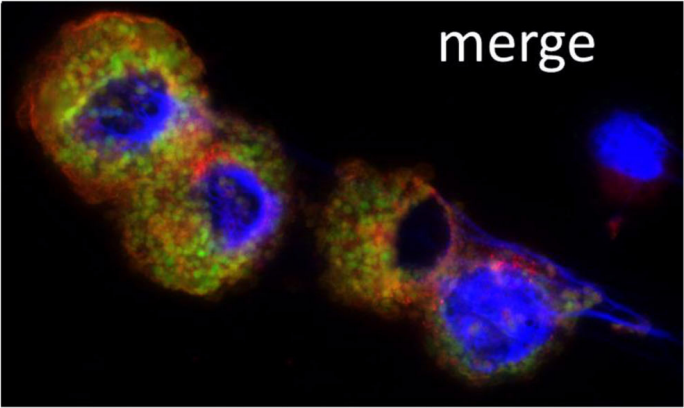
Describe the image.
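Several large rounded cells lie close together, their abundant intact cytoplasm packed with granules that glow green on a diffuse red background, giving a yellow-orange overall tone. Each contains a large oval nucleus shown in blue or seen as a dark hole within the granular cytoplasm. Thin blue streaks stretch across the lower right between the cells.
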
